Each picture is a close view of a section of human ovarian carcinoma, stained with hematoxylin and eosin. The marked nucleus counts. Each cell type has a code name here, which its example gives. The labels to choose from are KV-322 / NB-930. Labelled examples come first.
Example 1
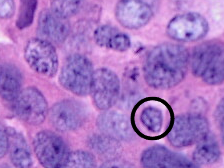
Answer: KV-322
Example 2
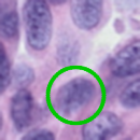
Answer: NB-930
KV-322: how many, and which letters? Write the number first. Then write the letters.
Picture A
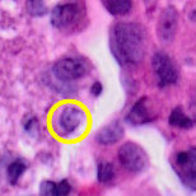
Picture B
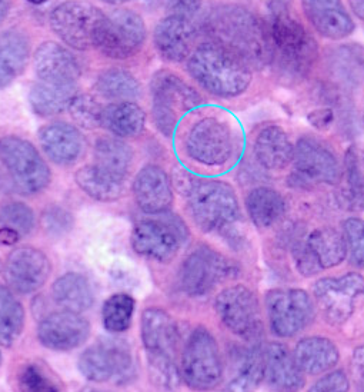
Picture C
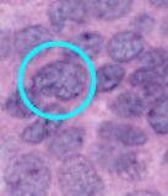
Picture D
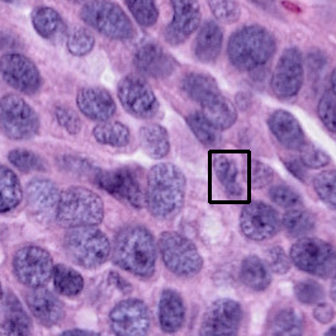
2: A, D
